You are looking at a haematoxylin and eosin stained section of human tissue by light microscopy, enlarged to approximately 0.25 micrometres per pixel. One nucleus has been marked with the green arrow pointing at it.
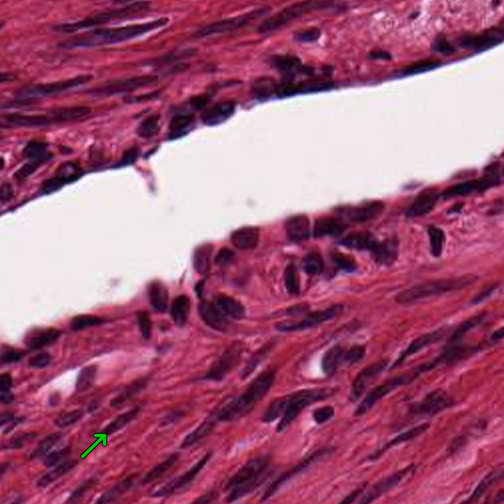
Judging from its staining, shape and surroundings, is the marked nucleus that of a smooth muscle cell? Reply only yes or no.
yes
